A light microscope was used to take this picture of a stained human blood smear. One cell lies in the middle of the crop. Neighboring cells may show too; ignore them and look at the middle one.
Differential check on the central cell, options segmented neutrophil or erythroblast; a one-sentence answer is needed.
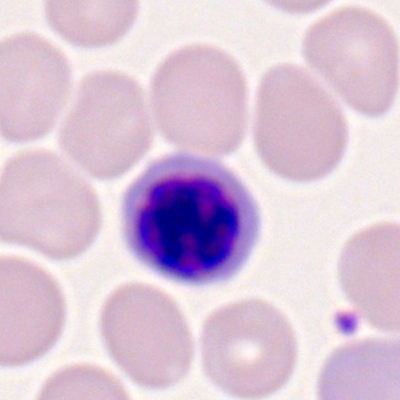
In this crop, the cell at the very middle is an erythroblast.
